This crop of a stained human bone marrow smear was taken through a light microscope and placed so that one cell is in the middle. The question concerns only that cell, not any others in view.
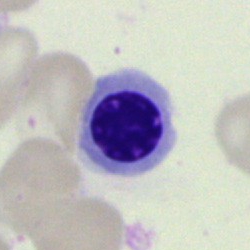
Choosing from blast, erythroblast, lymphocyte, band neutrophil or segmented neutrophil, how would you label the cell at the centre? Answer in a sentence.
The cell in the middle of the field of view is an erythroblast.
